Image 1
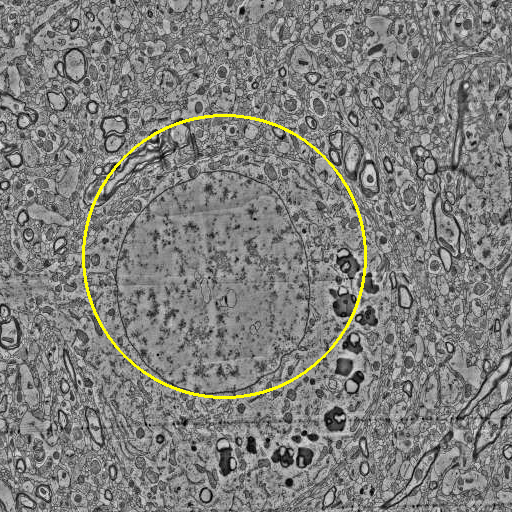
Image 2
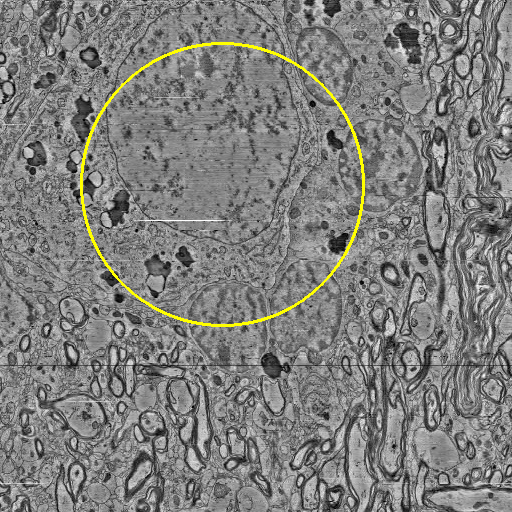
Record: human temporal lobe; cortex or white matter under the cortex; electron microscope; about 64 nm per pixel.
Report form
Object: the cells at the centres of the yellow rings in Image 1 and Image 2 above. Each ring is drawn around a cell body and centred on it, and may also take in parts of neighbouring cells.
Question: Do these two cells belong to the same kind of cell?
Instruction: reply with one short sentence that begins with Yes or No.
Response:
Yes, both belong to the same kind of cell.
